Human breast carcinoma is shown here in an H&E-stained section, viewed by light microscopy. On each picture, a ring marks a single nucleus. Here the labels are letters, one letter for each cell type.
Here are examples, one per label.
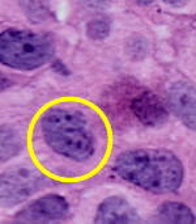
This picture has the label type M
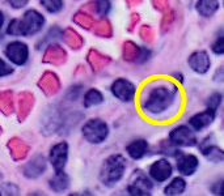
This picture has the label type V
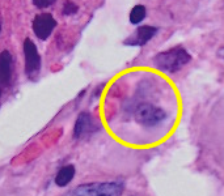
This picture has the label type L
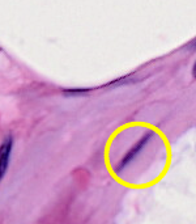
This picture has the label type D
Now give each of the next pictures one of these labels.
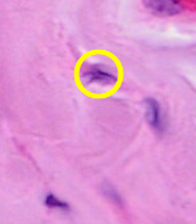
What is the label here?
type D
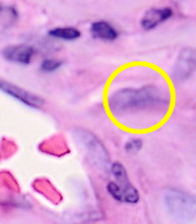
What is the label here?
type L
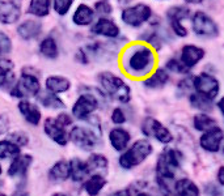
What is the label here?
type V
